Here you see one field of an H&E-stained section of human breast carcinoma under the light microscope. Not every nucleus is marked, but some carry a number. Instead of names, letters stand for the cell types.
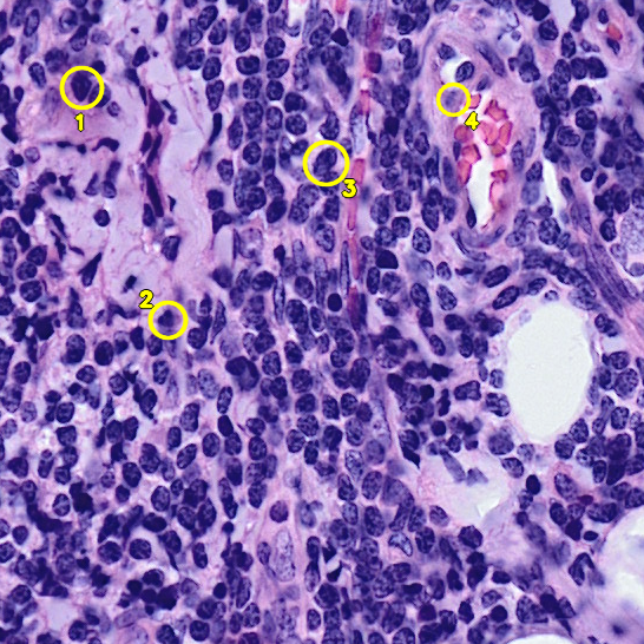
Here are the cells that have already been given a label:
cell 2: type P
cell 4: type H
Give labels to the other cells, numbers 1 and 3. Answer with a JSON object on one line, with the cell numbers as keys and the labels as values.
{"1": "type P", "3": "type P"}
